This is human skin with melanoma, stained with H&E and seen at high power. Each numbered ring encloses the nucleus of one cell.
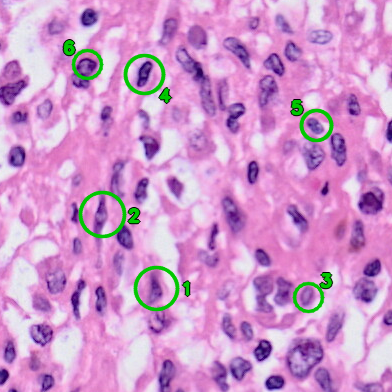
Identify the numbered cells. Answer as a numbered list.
1. macrophage or monocyte
2. fibroblast or myofibroblast
3. macrophage or monocyte
4. lymphocyte
5. lymphocyte
6. macrophage or monocyte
